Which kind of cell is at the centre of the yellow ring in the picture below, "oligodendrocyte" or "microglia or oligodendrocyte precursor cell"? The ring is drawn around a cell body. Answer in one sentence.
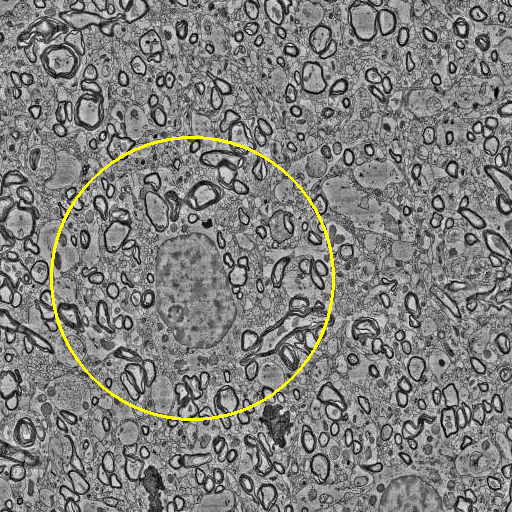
The ring's central cell is an oligodendrocyte.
